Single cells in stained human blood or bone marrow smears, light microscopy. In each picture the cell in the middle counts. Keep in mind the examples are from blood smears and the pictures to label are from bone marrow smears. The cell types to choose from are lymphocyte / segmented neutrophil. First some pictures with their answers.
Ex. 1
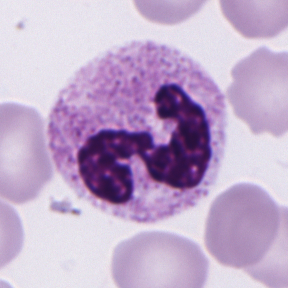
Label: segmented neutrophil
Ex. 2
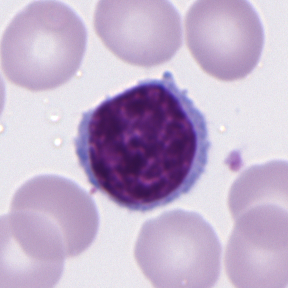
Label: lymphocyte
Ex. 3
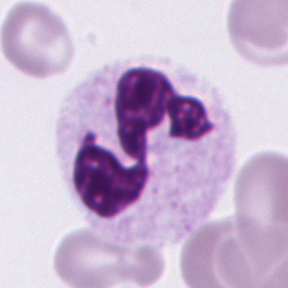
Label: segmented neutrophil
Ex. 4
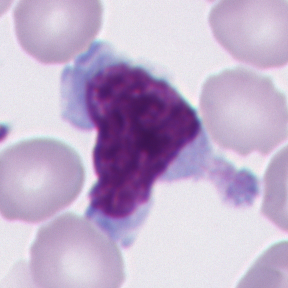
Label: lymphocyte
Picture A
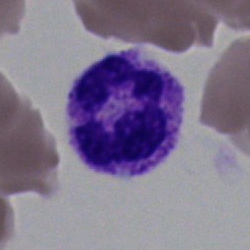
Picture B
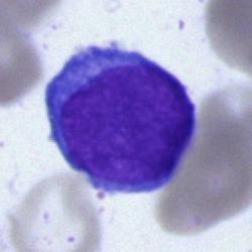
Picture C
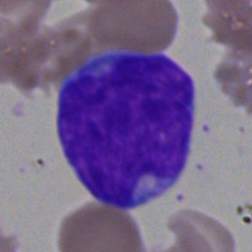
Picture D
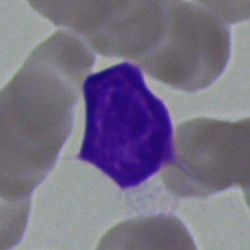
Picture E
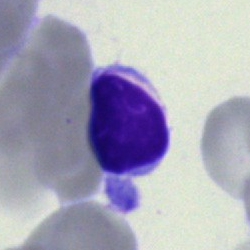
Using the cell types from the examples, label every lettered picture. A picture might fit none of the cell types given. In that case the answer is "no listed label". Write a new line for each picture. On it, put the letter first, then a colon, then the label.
A: segmented neutrophil
B: no listed label
C: no listed label
D: lymphocyte
E: lymphocyte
